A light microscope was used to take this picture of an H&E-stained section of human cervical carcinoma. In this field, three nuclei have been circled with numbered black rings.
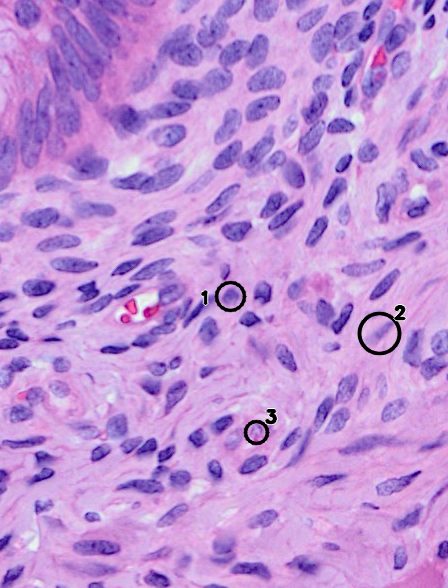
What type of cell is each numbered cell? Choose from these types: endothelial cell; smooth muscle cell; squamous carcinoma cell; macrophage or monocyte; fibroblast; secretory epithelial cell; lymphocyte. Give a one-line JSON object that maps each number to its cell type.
{"1": "fibroblast", "2": "fibroblast", "3": "endothelial cell"}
